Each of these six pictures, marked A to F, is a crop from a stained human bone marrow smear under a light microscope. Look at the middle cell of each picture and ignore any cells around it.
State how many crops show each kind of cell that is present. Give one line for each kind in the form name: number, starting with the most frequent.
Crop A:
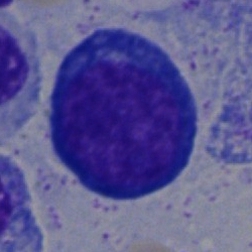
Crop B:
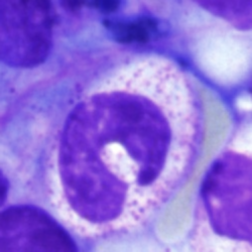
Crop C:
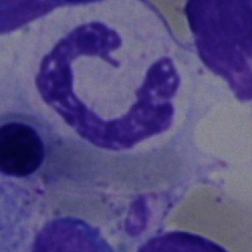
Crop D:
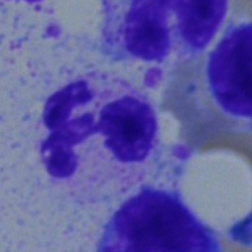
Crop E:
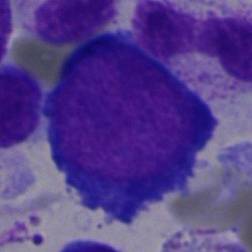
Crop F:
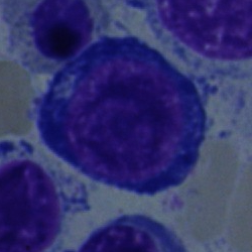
proerythroblast: 3
segmented neutrophil: 2
band neutrophil: 1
